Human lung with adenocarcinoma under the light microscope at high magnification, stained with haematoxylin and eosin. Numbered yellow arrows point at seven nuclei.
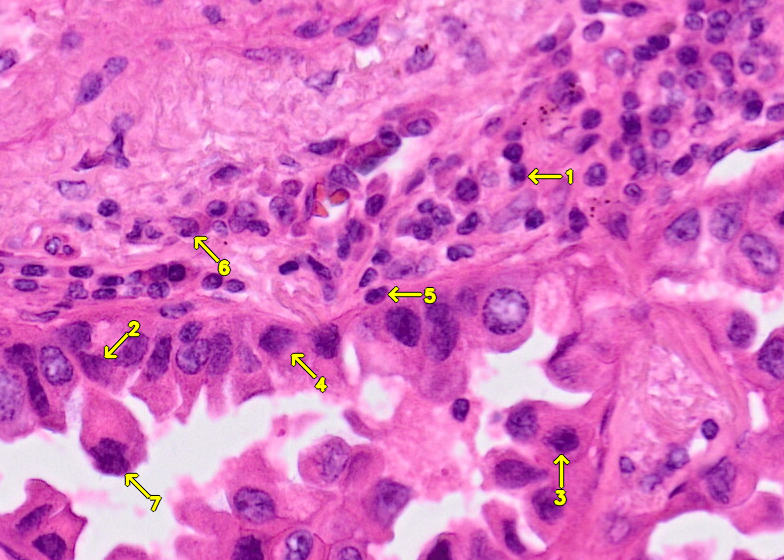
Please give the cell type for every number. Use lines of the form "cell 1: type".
cell 1: lymphocyte
cell 2: carcinoma cell
cell 3: carcinoma cell
cell 4: carcinoma cell
cell 5: lymphocyte
cell 6: plasma cell
cell 7: carcinoma cell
